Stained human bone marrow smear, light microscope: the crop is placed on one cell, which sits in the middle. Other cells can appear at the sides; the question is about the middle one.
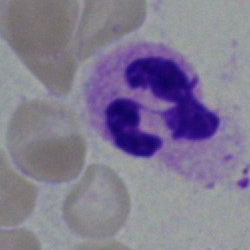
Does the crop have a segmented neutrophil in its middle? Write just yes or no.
yes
